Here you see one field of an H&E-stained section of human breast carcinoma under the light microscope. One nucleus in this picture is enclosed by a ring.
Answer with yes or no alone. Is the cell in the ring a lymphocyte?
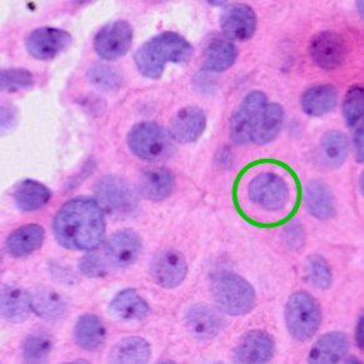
no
